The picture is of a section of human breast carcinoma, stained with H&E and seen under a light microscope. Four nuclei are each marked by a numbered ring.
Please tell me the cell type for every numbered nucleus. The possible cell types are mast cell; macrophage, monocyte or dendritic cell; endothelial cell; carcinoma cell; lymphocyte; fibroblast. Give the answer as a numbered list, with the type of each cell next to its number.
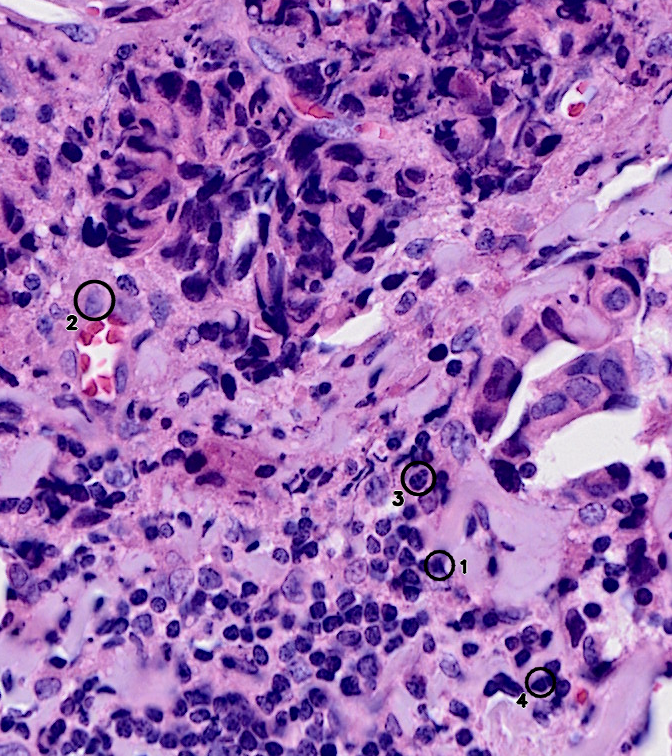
1. lymphocyte
2. endothelial cell
3. lymphocyte
4. lymphocyte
